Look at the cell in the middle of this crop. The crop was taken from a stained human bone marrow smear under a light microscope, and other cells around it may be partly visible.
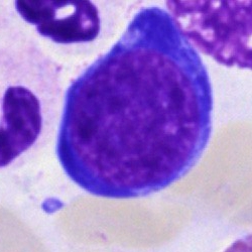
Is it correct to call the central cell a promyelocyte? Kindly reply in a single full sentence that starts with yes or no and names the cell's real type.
No, what is centred in the crop is not a promyelocyte but a proerythroblast.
